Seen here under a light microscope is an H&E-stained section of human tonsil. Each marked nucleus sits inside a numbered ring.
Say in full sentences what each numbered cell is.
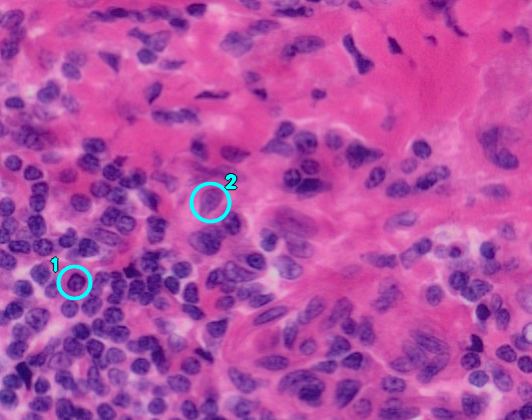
Cell 1 is a plasma cell. Cell 2 is an endothelial cell.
